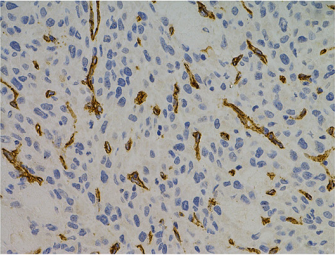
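A densely cellular tumor with many oval to spindle-shaped blue nuclei packed closely together is crossed by numerous small blood vessels. The vessel walls stand out in dark brown as thin, elongated, often branching strands of vascular endothelial cells, some outlining narrow lumens. The vessels are scattered evenly among the tumor cells without a layered arrangement.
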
